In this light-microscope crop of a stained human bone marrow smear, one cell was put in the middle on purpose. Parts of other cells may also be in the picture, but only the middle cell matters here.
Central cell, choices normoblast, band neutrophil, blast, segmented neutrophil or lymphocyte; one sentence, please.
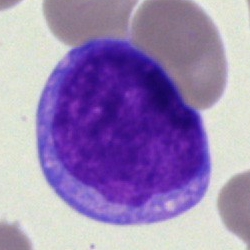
Classification of the middle cell gives a blast.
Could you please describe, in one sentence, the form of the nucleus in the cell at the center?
Worth pointing out that its nucleus is one compact mass, round, oval or reniform.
